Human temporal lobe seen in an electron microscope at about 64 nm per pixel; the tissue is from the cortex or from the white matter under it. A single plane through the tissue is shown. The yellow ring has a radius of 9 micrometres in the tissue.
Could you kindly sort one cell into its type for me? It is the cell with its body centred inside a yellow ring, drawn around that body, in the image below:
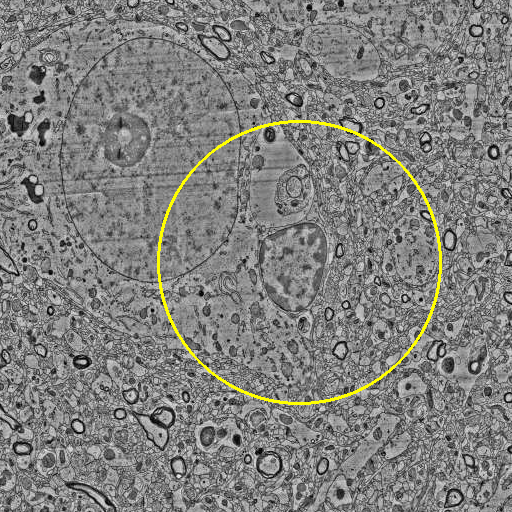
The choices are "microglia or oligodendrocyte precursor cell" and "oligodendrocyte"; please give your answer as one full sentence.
The cell whose body lies centred in the yellow ring here is a microglial cell or oligodendrocyte precursor cell.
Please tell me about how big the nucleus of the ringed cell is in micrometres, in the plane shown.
Approximately 6 micrometres long and 4 micrometres wide, in this plane.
